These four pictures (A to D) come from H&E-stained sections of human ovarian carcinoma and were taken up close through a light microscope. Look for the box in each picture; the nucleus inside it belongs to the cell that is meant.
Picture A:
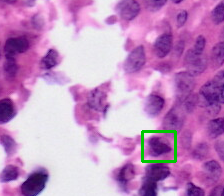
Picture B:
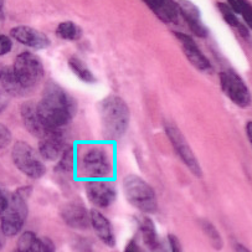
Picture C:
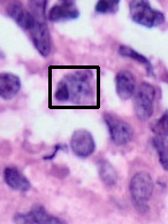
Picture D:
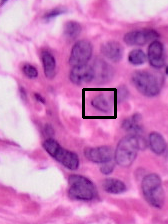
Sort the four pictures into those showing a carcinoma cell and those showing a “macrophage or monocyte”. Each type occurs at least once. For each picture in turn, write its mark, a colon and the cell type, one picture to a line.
A: carcinoma cell
B: carcinoma cell
C: macrophage or monocyte
D: macrophage or monocyte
